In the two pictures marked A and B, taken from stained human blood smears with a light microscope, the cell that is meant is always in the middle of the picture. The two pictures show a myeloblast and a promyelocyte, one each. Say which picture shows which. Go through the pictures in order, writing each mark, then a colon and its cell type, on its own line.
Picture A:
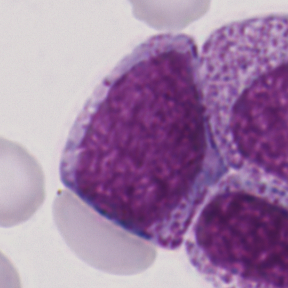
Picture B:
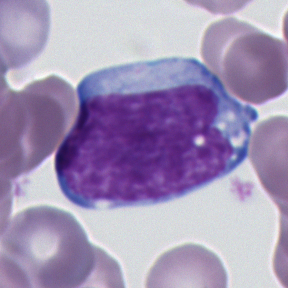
A: promyelocyte
B: myeloblast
